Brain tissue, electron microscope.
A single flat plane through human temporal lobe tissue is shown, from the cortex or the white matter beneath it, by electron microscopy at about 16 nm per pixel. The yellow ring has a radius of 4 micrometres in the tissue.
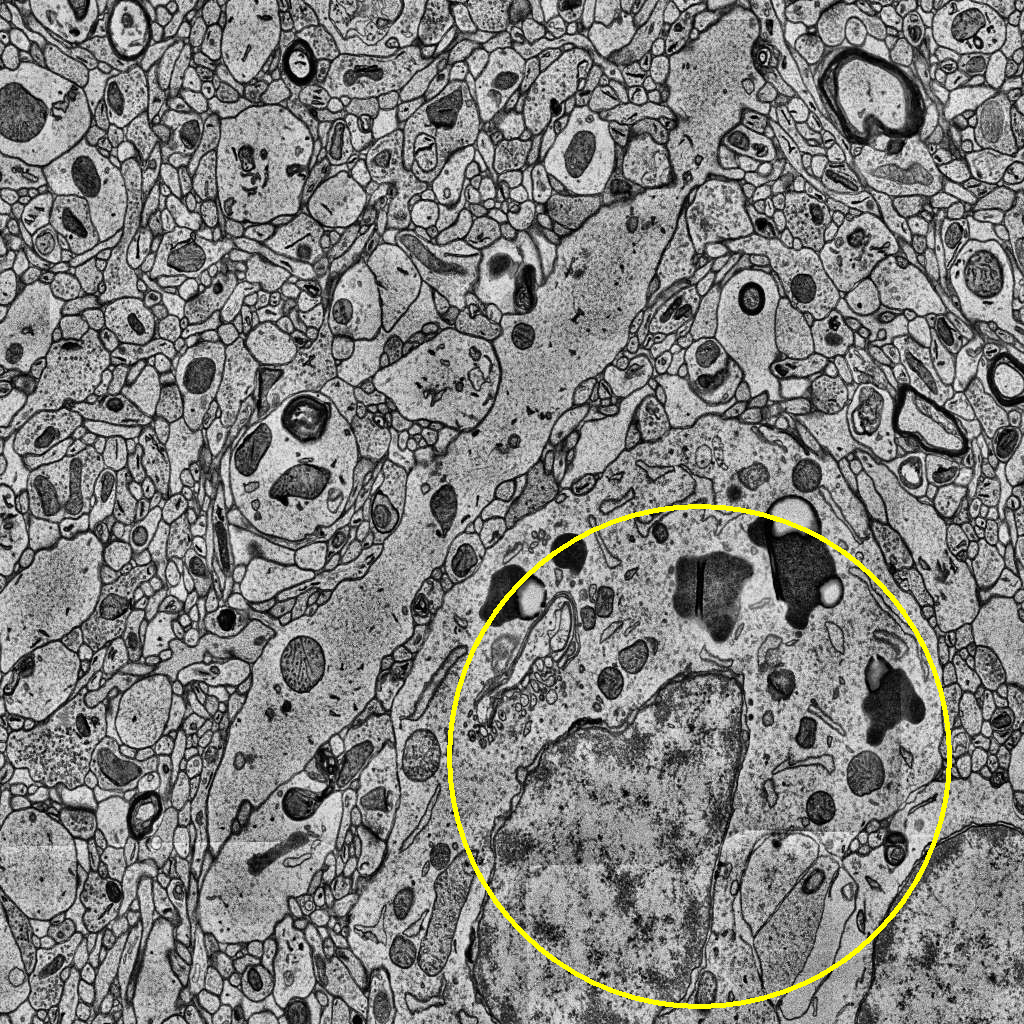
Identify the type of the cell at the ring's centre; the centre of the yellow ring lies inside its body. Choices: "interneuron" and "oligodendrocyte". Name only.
interneuron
